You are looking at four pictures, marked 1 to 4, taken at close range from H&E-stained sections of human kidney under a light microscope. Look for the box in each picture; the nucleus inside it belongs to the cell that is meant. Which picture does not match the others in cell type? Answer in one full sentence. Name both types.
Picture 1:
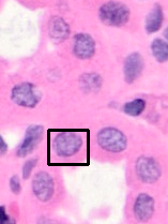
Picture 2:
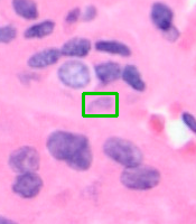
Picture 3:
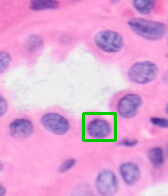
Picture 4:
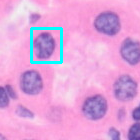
The different one is picture 2; it shows a collecting duct cell, whereas all the others show “loop of Henle or distal tubule cells”.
